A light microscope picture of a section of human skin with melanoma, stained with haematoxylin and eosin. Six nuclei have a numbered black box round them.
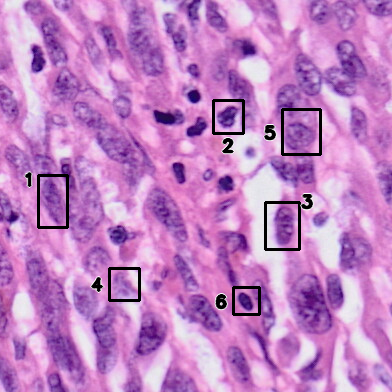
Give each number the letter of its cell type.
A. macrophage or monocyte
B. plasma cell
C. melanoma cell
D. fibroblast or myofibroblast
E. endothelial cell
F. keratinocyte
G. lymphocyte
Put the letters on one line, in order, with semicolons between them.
C; G; C; C; C; G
